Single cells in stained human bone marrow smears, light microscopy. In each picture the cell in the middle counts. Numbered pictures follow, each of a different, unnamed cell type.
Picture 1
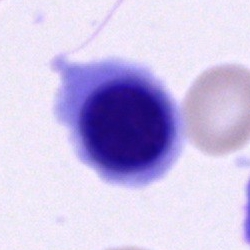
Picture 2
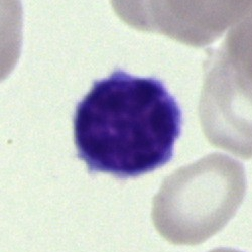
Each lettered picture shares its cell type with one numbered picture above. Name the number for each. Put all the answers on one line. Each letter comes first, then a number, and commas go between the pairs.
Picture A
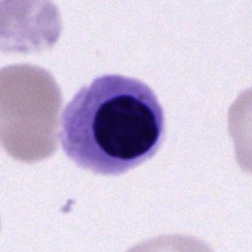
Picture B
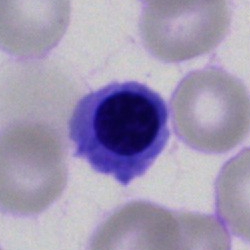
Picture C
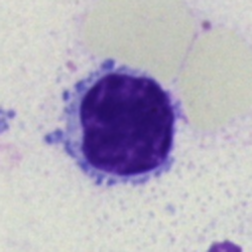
A 1, B 1, C 2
